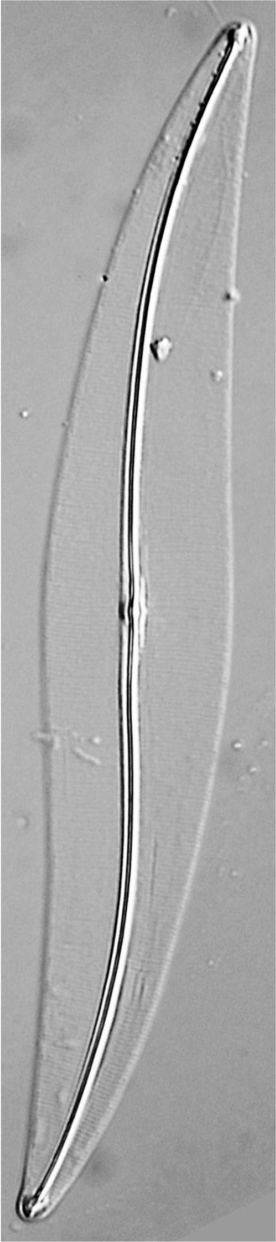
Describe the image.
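A single pennate diatom valve seen in valve view. It is long and narrowly lanceolate and gently curved, tapering to bluntly rounded ends. A raphe runs the full length of the valve along its midline, shown as a bright, sharply outlined double line bordered by a thickened rib. At mid-length the raphe is interrupted by a small central nodule, and each end finishes in a small thickened polar nodule. The valve face on either side is thin and glassy. Very fine, closely spaced striae are only faintly visible across it.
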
